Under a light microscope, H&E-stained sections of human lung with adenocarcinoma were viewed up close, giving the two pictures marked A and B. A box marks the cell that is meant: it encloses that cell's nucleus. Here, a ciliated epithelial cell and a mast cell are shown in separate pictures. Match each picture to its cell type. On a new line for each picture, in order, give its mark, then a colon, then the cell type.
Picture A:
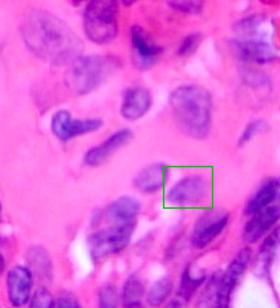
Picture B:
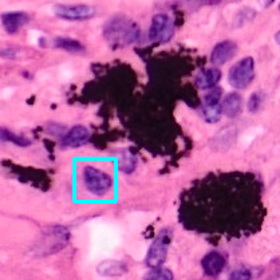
A: ciliated epithelial cell
B: mast cell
